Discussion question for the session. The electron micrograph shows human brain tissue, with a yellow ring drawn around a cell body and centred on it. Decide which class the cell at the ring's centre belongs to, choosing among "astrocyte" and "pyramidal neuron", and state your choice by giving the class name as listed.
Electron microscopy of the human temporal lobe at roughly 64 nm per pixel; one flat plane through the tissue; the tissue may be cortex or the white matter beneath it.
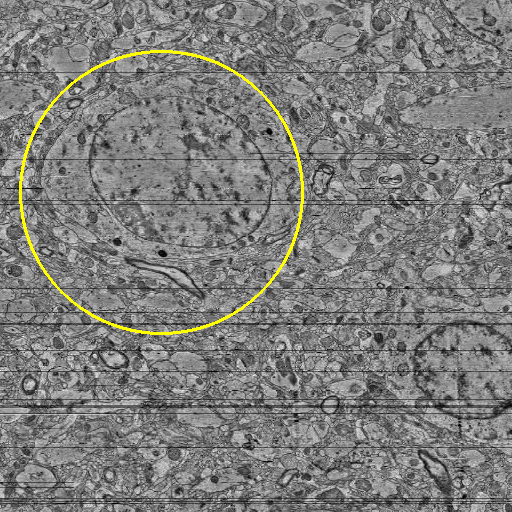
pyramidal neuron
